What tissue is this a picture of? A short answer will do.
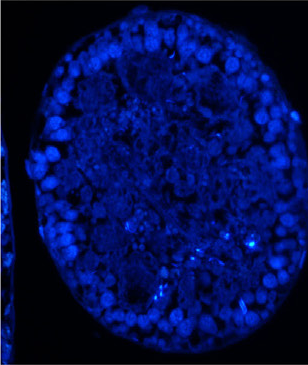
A: Seminiferous tubules.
